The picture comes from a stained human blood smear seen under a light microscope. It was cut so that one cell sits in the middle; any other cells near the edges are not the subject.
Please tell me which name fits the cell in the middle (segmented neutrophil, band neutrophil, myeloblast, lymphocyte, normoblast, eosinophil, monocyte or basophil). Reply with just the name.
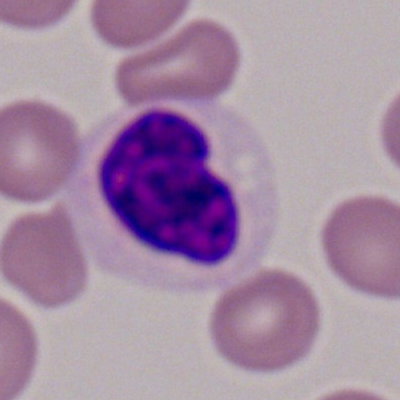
segmented neutrophil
